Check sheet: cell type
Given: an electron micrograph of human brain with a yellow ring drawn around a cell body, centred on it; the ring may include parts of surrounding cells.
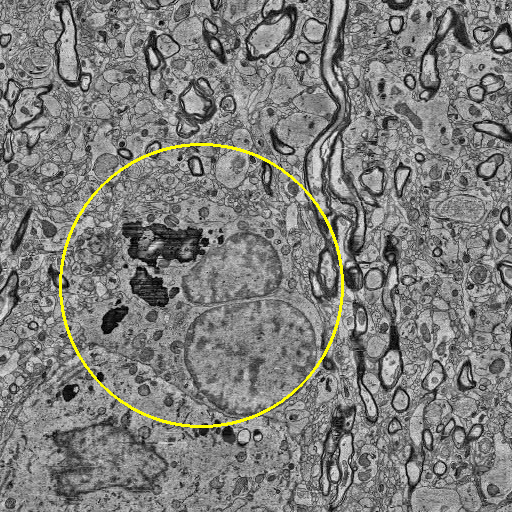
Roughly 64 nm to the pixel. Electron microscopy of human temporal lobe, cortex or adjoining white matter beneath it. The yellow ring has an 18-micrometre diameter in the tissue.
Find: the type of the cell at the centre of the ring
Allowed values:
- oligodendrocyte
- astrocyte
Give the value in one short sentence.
Here the ringed cell is an oligodendrocyte.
